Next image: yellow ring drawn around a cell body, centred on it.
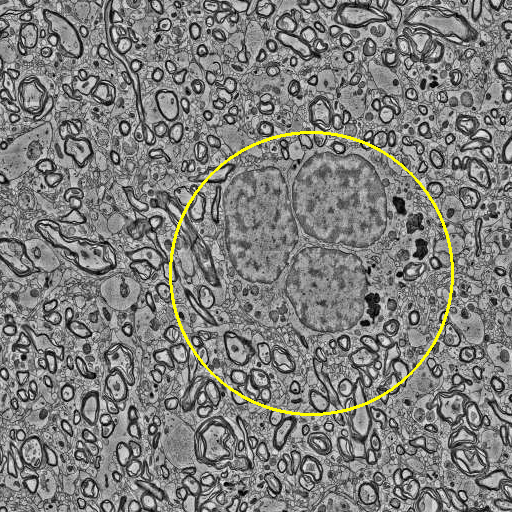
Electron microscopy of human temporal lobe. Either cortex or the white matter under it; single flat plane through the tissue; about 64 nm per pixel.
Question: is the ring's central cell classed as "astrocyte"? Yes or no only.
no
